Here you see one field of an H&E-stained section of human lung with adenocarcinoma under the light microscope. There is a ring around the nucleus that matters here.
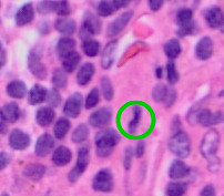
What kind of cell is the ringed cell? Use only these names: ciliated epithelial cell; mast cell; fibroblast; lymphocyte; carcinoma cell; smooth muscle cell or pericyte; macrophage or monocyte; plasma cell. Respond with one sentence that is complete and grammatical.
In the context of this tissue, the ringed cell is a lymphocyte.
